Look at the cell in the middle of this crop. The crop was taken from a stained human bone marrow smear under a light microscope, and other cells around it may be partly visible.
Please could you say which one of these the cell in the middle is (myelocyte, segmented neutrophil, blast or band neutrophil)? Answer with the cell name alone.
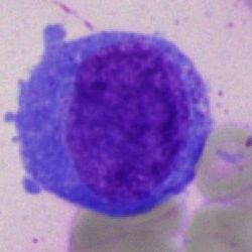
blast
